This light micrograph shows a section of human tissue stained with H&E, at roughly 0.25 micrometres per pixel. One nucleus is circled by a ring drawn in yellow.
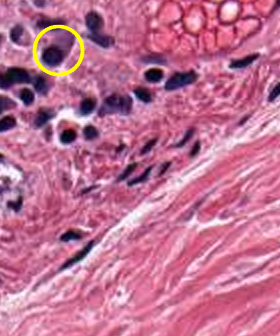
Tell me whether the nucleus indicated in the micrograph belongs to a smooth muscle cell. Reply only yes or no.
no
